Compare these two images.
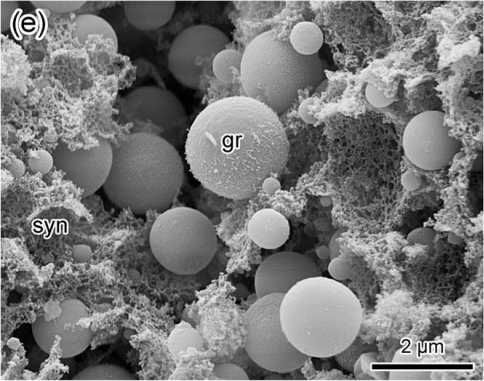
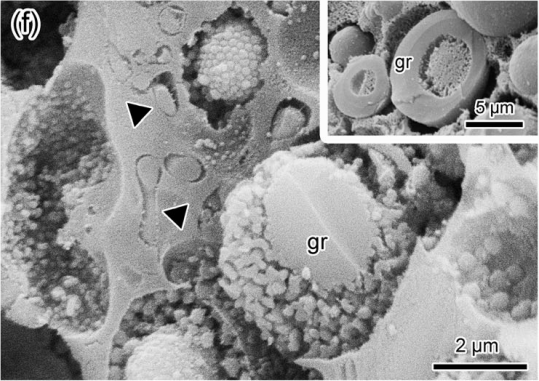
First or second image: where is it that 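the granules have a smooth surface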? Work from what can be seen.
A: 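Second image: the large granules are covered with many small knobbly subunits.
The first image.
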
